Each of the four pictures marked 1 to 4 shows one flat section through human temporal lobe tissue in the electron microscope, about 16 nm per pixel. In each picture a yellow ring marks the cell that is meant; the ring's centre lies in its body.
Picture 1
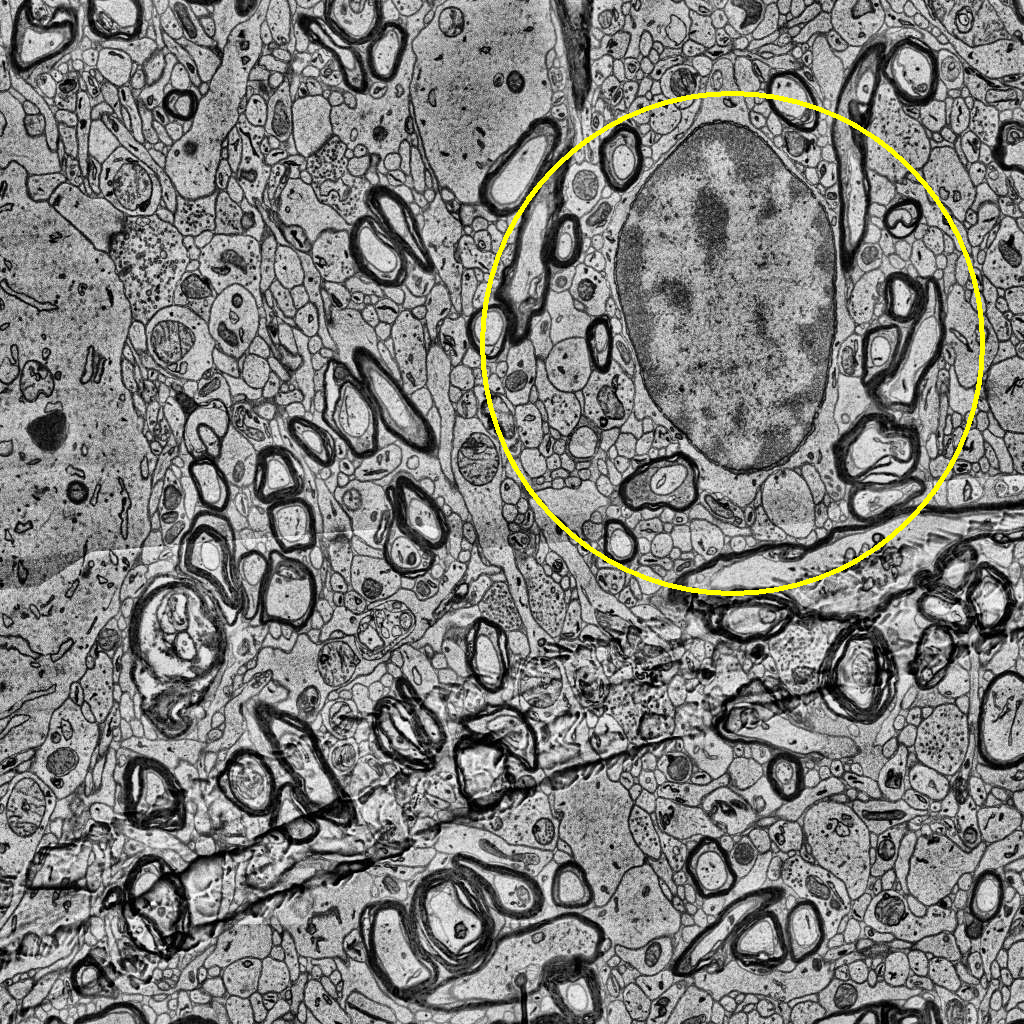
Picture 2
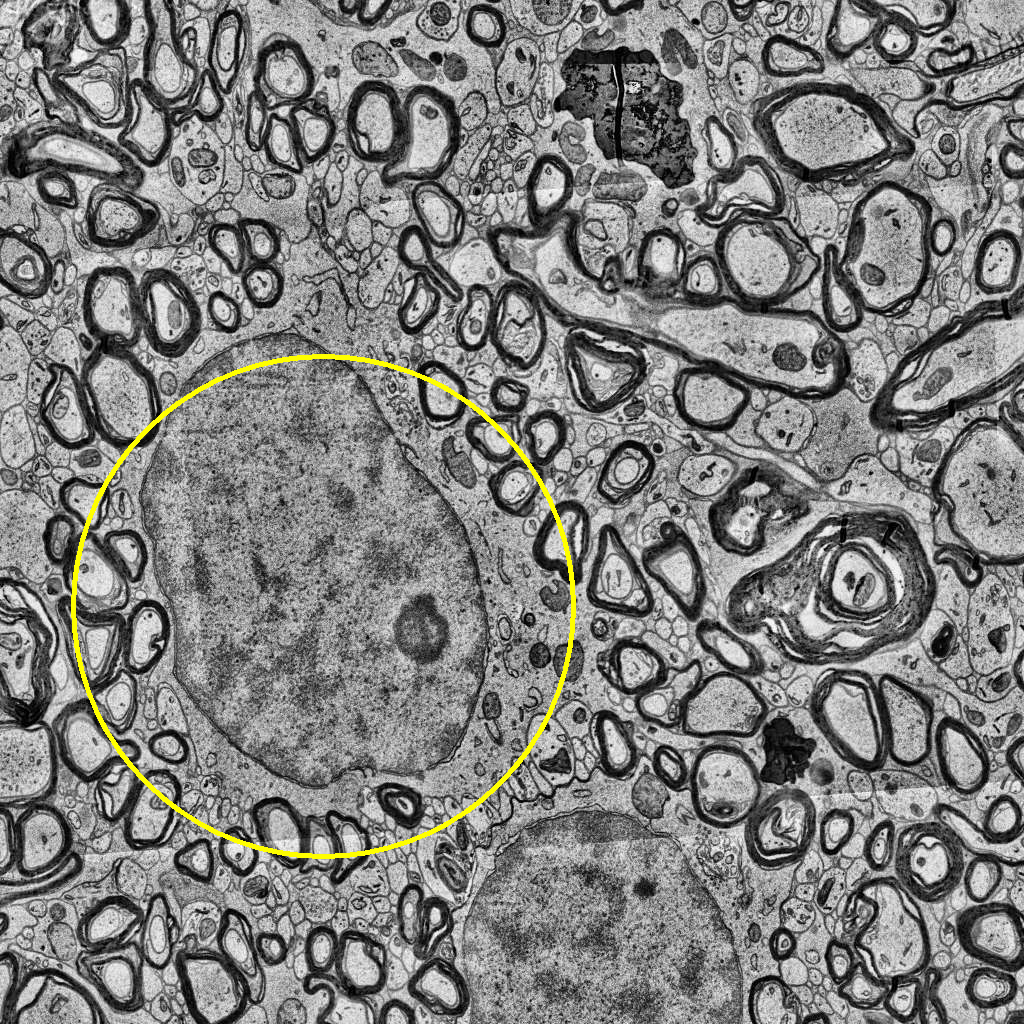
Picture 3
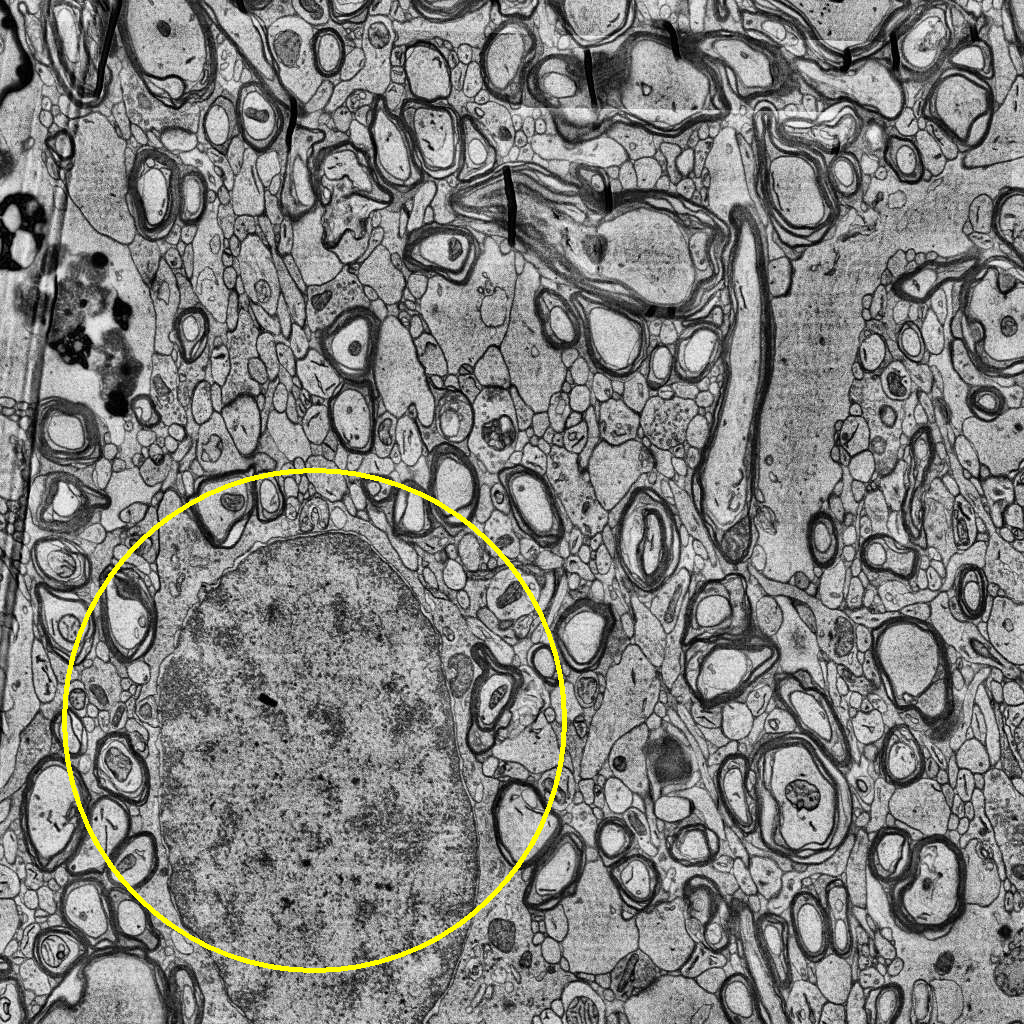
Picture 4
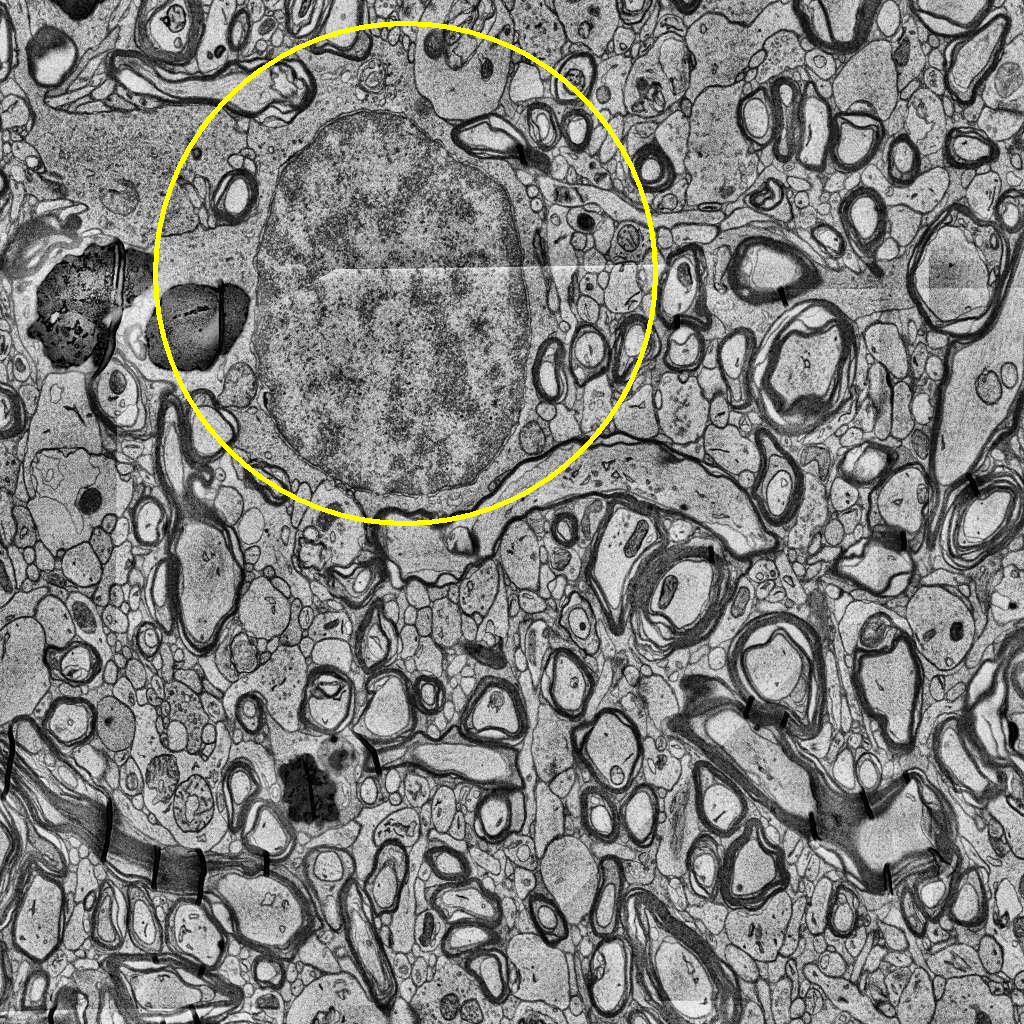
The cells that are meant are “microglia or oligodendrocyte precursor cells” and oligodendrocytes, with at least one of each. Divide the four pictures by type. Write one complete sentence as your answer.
Picture 1 shows a “microglia or oligodendrocyte precursor cell”, and pictures 2, 3 and 4 show oligodendrocytes.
